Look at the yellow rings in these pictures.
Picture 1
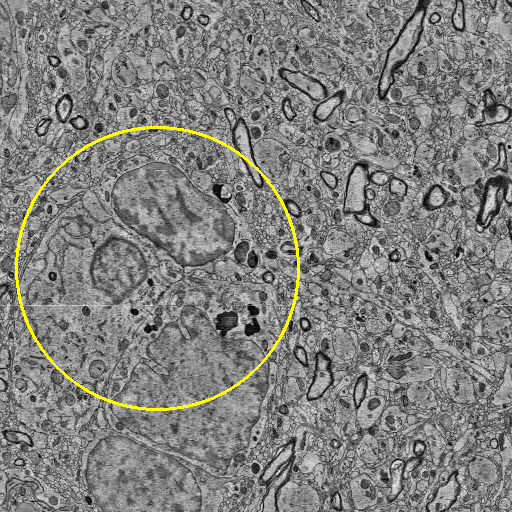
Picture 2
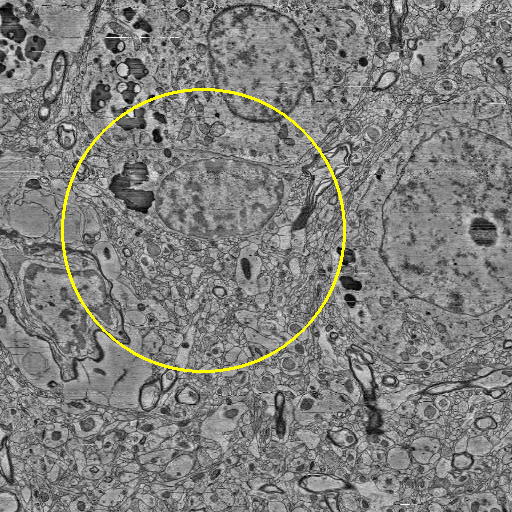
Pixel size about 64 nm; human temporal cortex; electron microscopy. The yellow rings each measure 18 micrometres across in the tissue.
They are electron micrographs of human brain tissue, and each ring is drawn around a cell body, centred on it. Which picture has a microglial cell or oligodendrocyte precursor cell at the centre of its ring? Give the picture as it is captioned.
Picture 1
